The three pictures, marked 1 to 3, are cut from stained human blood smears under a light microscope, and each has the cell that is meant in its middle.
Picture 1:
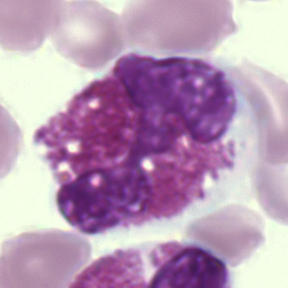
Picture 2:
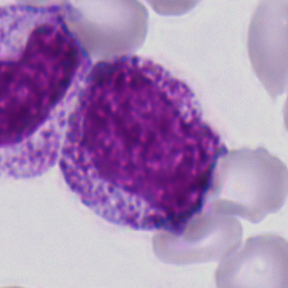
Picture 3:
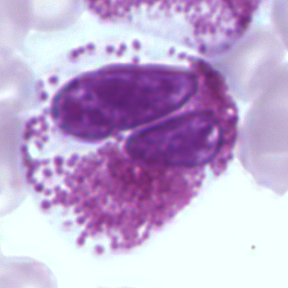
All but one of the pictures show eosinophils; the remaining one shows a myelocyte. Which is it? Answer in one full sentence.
It is picture 2 that shows the myelocyte.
